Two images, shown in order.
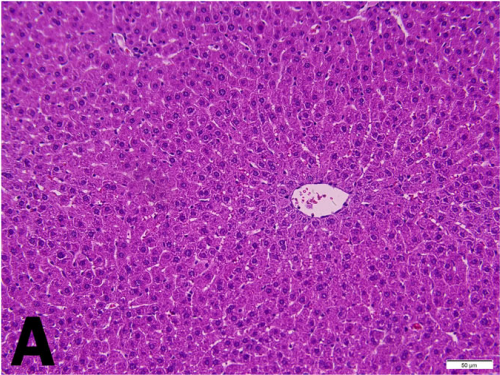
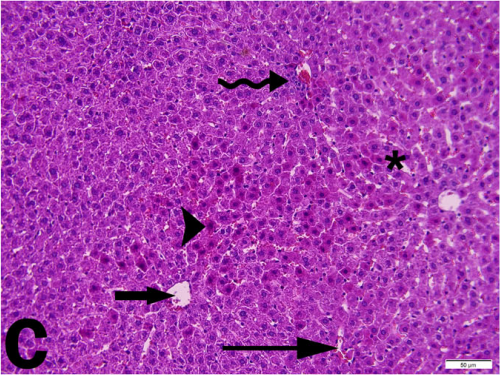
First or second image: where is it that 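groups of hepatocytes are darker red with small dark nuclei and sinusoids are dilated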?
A: The second image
